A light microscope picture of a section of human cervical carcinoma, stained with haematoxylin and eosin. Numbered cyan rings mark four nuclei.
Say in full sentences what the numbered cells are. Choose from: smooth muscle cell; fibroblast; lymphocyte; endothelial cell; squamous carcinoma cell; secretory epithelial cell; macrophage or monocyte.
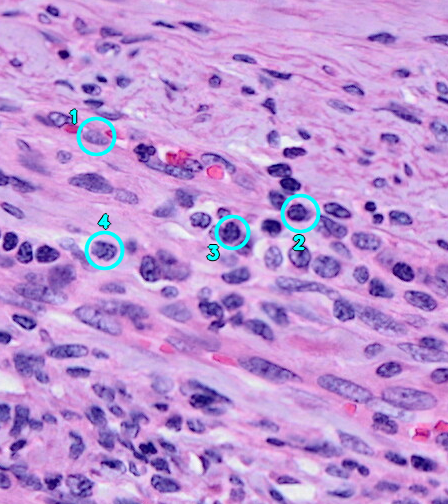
Cell 1 is an endothelial cell, cell 2 is a lymphocyte, cell 3 is a lymphocyte and cell 4 is a lymphocyte.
